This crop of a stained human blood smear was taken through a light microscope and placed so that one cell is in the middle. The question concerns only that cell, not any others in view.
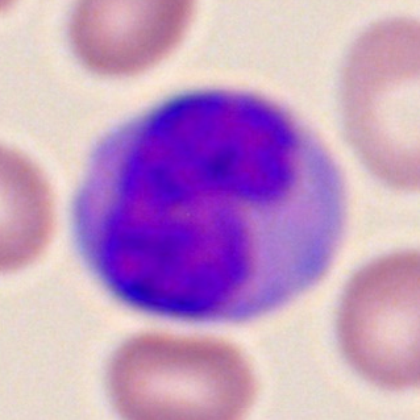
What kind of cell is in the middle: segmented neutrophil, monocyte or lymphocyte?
monocyte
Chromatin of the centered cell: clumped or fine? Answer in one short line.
The chromatin in this nucleus is coarsely clumped.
